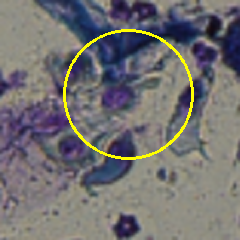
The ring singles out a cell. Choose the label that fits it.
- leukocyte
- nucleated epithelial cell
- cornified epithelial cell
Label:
nucleated epithelial cell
